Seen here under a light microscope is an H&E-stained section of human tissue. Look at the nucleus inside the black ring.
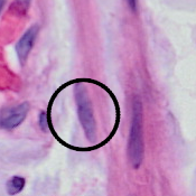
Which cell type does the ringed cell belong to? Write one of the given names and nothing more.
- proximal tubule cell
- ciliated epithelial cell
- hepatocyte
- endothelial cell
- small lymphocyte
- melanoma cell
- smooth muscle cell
smooth muscle cell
